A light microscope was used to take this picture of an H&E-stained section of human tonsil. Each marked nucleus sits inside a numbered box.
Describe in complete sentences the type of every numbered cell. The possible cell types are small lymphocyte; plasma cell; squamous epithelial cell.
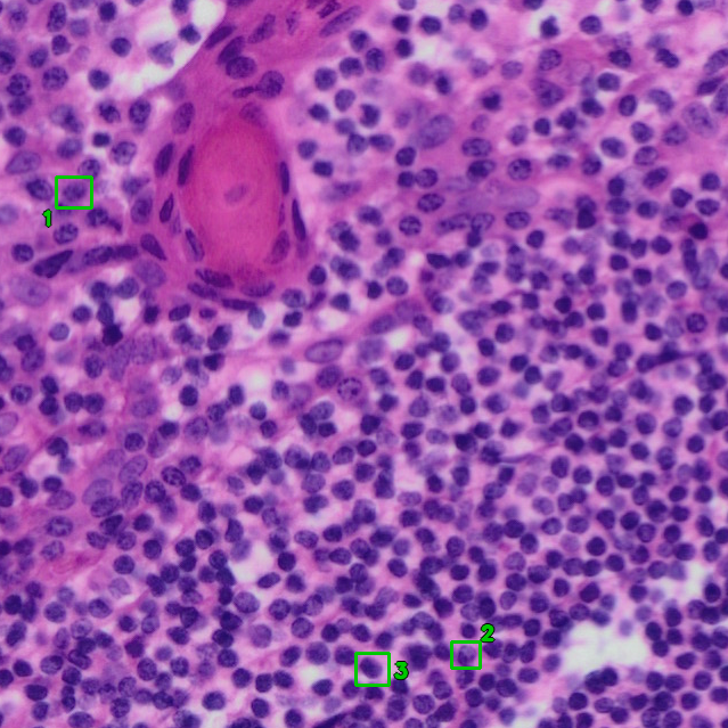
Cell 1 is a plasma cell, cell 2 is a small lymphocyte and cell 3 is a small lymphocyte.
